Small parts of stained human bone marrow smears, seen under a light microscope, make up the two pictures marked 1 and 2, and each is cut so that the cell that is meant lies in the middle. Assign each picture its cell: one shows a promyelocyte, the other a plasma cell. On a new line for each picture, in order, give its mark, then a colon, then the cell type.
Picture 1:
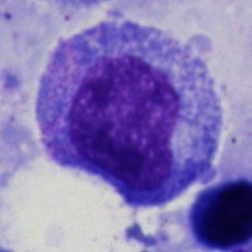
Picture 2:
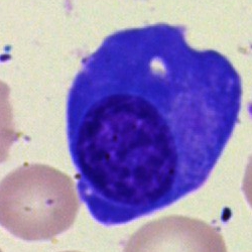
1: promyelocyte
2: plasma cell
